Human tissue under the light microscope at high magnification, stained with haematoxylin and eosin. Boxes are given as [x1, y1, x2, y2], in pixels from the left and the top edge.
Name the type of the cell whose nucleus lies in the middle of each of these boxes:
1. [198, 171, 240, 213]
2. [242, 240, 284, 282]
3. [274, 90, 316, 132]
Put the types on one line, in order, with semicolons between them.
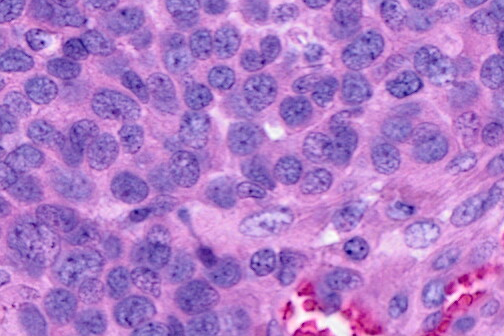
carcinoma cell; macrophage or monocyte; carcinoma cell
